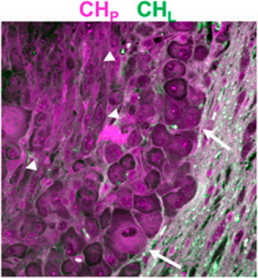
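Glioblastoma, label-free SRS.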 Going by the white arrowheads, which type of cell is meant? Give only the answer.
Spindle-shaped dense tumor cells.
